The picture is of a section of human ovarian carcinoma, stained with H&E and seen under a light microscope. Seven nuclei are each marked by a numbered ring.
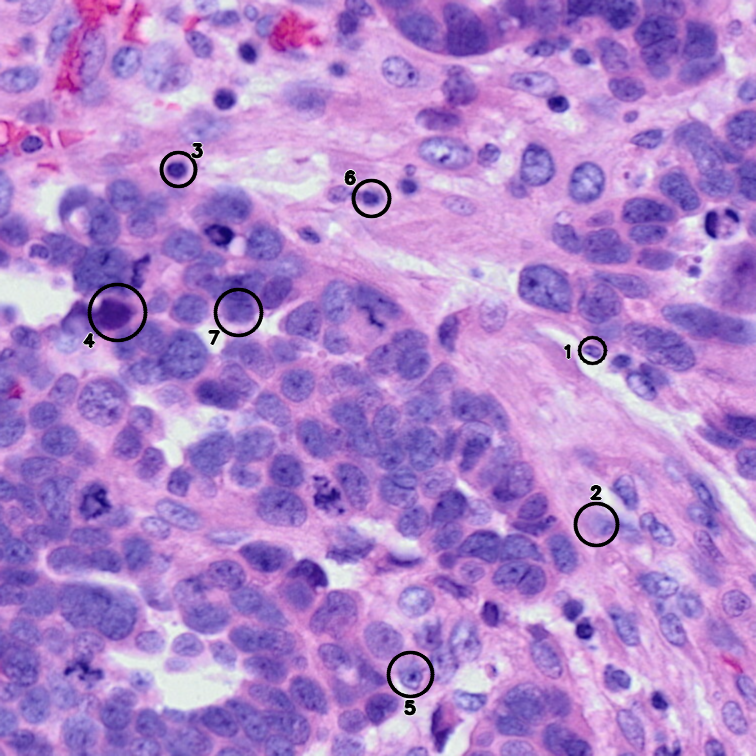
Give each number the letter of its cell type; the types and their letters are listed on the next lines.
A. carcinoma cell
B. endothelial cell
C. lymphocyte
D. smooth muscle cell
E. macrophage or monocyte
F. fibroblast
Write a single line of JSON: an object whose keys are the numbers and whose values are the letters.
{"1": "C", "2": "F", "3": "C", "4": "A", "5": "E", "6": "C", "7": "A"}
